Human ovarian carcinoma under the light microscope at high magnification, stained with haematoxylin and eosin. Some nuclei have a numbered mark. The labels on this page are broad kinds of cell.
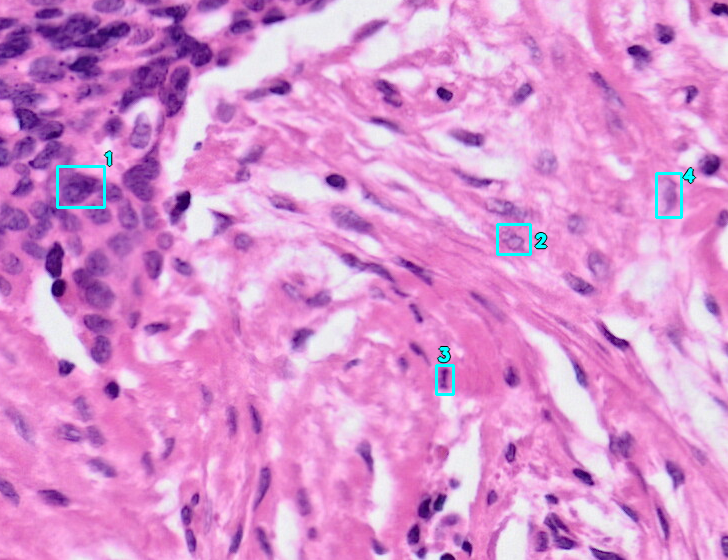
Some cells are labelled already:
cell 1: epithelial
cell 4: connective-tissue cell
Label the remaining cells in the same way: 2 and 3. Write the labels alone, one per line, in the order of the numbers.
connective-tissue cell
connective-tissue cell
